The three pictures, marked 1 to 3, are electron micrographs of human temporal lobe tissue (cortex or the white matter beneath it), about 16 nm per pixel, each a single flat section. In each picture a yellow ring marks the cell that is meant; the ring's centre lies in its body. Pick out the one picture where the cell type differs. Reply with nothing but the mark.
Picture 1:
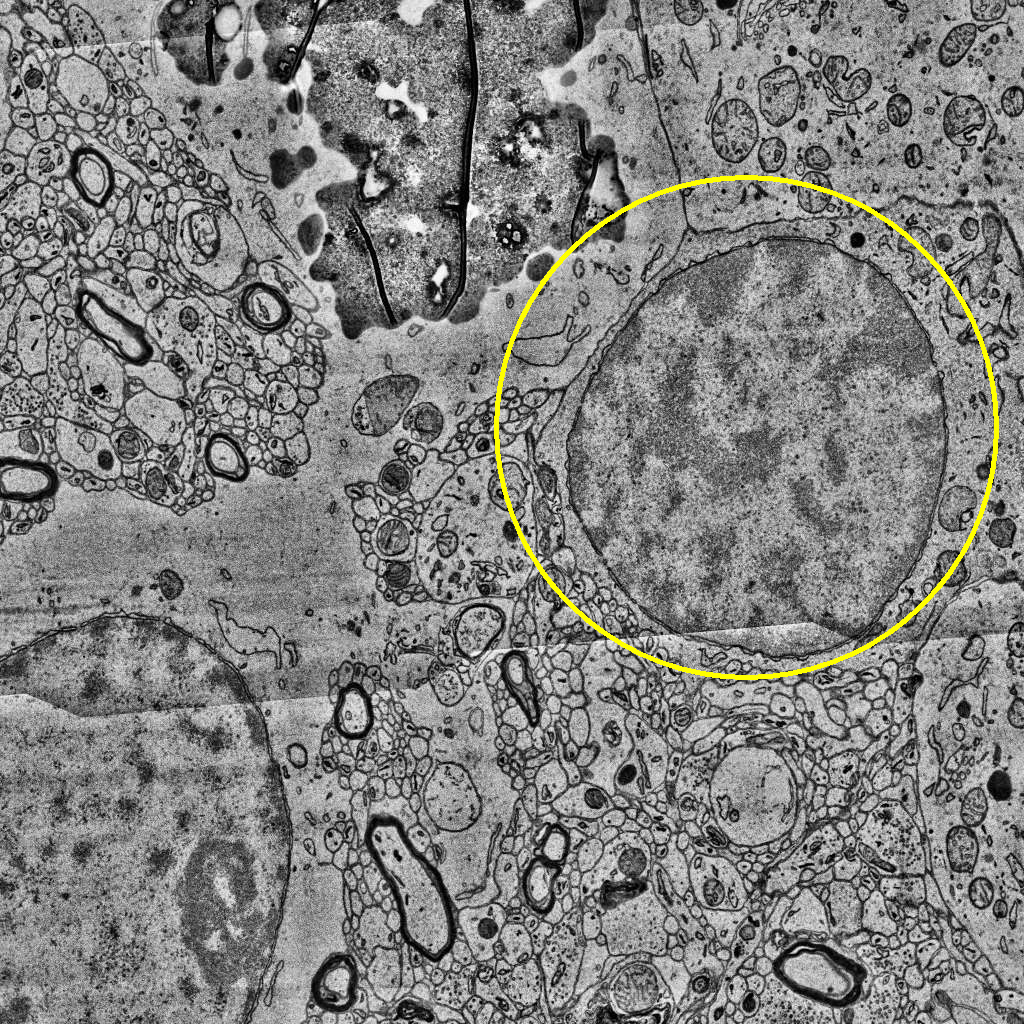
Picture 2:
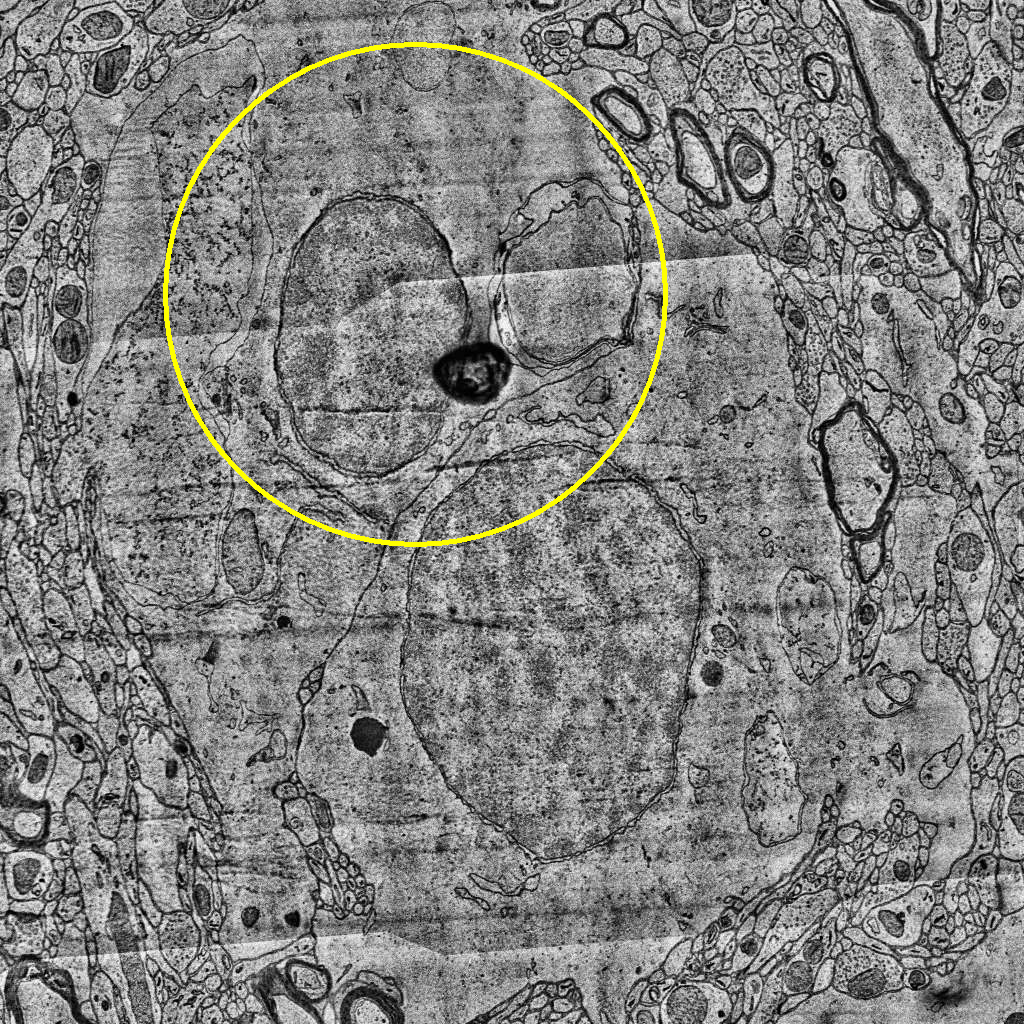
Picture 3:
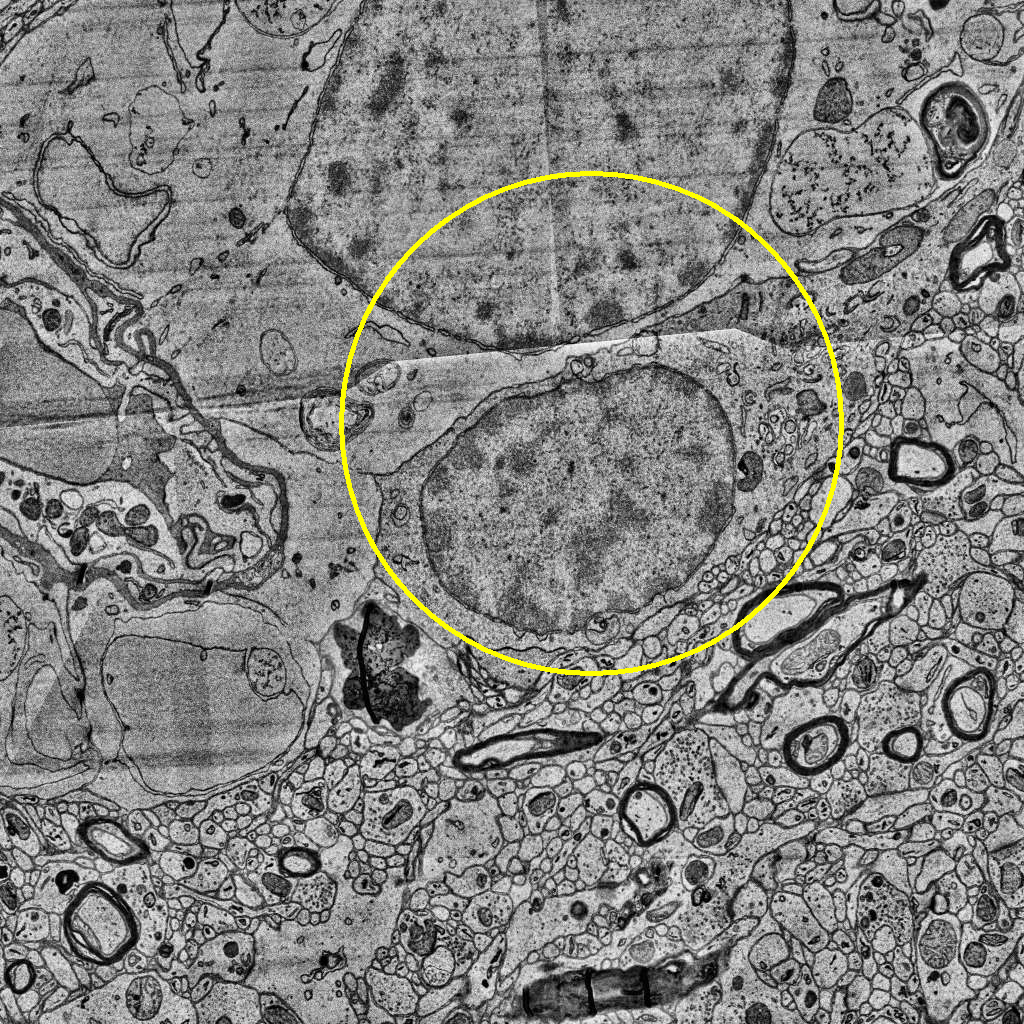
2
